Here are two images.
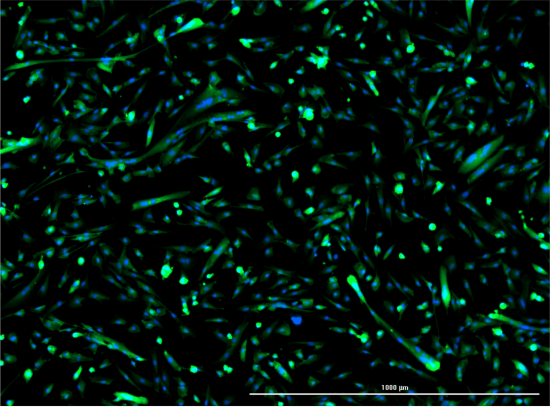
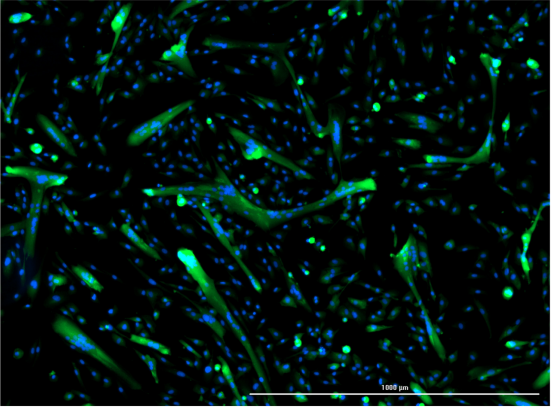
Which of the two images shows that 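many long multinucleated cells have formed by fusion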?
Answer: the second image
